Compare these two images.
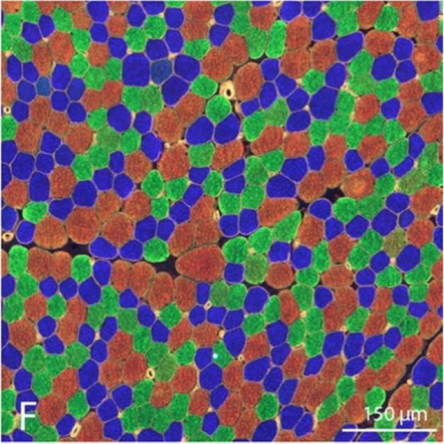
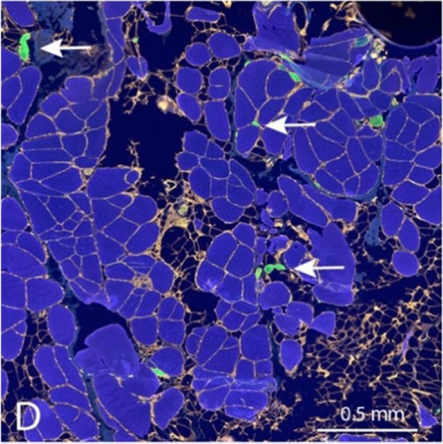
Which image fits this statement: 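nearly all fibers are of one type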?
the second image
